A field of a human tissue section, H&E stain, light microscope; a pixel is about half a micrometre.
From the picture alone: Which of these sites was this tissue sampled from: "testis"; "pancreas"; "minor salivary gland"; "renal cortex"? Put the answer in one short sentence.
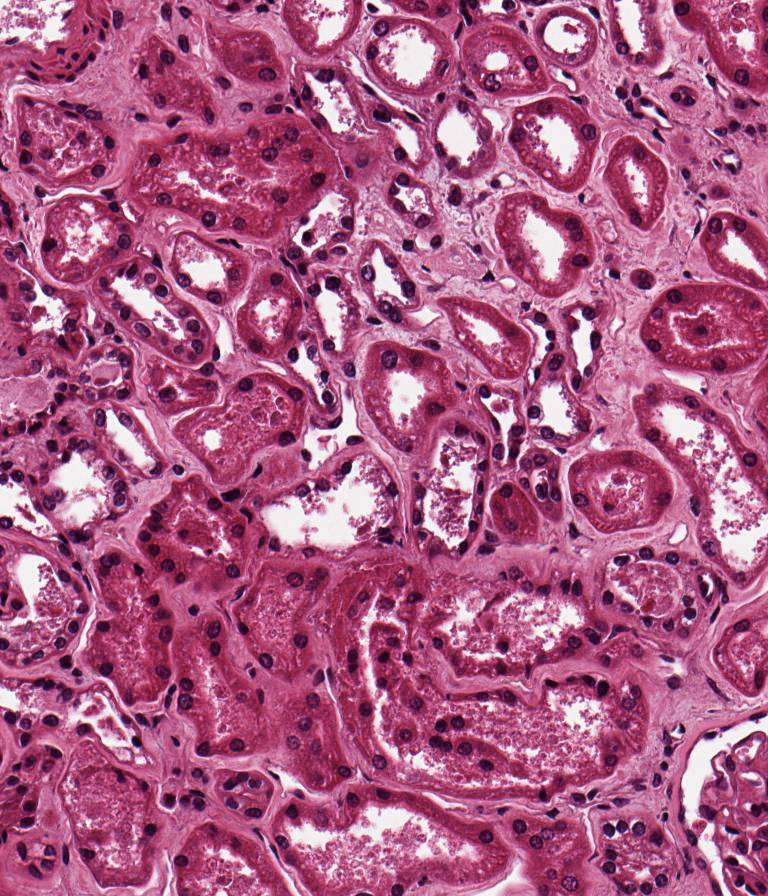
The site this tissue was sampled from is the renal cortex.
